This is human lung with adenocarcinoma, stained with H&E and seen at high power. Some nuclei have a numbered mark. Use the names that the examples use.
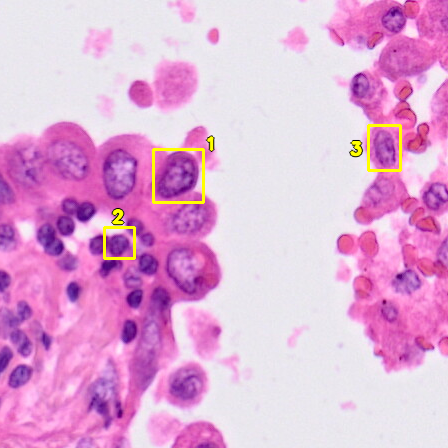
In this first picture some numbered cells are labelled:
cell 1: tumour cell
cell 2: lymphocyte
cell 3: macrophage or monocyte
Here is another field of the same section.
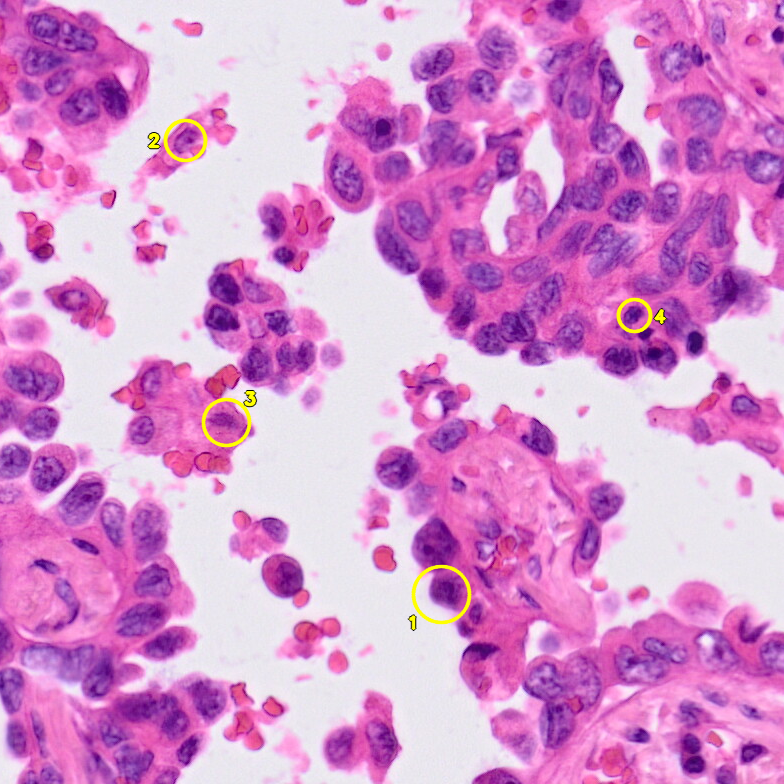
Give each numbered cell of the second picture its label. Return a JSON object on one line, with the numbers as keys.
{"1": "tumour cell", "2": "macrophage or monocyte", "3": "macrophage or monocyte", "4": "lymphocyte"}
